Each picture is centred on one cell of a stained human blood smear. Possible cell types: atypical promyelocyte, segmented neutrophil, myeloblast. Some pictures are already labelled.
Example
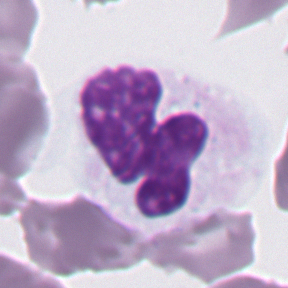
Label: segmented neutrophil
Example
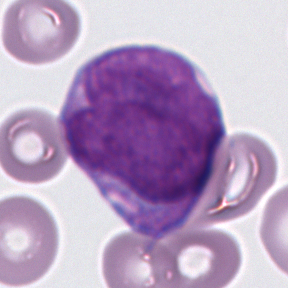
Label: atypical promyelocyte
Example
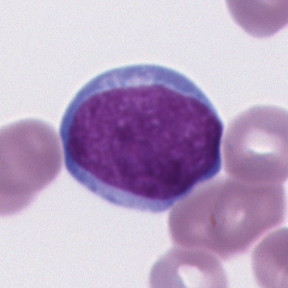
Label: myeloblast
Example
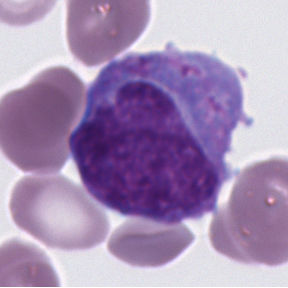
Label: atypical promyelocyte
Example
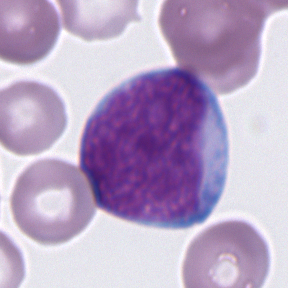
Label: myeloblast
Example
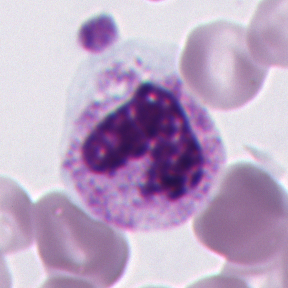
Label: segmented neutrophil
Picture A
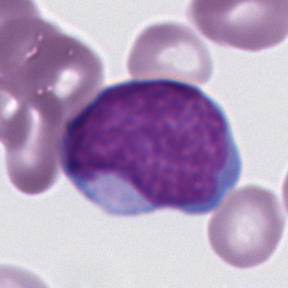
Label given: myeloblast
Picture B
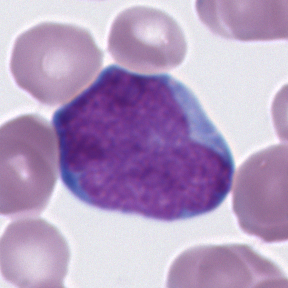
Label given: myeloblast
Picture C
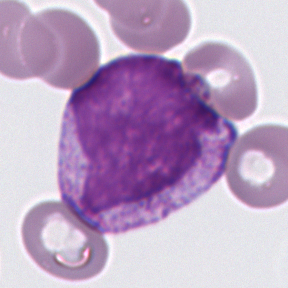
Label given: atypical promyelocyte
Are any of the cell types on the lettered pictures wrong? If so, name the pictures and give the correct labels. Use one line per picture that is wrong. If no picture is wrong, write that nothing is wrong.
None of the labels needs changing.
